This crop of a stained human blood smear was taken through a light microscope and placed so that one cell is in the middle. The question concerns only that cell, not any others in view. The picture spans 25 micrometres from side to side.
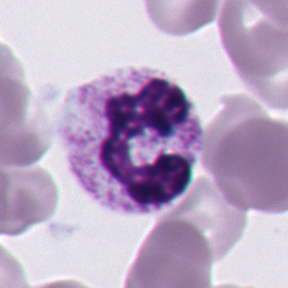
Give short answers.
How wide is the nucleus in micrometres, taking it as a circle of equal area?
8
